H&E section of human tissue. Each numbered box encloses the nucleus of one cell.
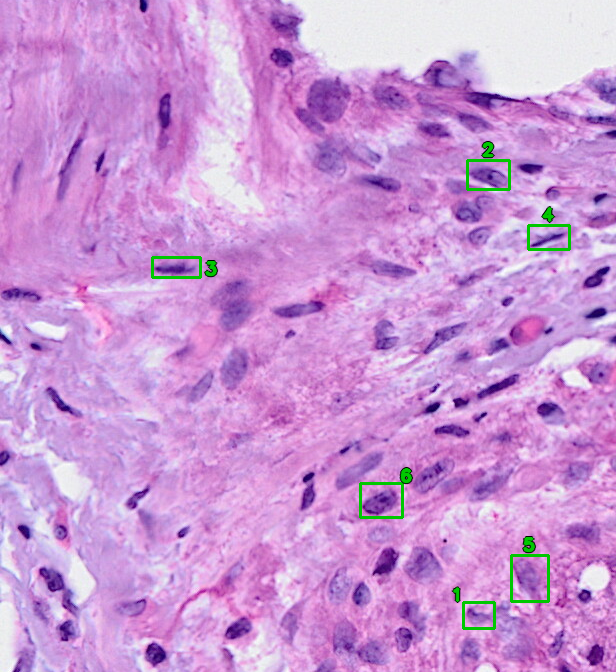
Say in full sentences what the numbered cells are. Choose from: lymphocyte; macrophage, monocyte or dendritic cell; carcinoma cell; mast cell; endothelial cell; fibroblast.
Cell 1 is a macrophage, monocyte or dendritic cell, cell 2 is a fibroblast, cell 3 is a fibroblast, cell 4 is a fibroblast, cell 5 is a fibroblast and cell 6 is a macrophage, monocyte or dendritic cell.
